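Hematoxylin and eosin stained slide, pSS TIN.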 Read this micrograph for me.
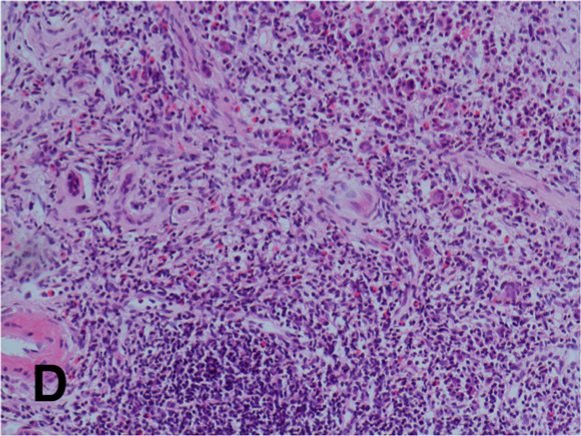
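Here the kidney interstitium is densely filled with inflammatory cells, mostly small lymphocytes with round, dark purple nuclei. Several small blood vessels with pink walls are embedded in the infiltrate. Thin pink strands of connective tissue run through the field between the cells. Toward the bottom the small dark cells gather into an especially dense cluster. Scattered among them are some larger cells with more abundant pink cytoplasm.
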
